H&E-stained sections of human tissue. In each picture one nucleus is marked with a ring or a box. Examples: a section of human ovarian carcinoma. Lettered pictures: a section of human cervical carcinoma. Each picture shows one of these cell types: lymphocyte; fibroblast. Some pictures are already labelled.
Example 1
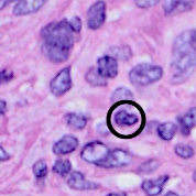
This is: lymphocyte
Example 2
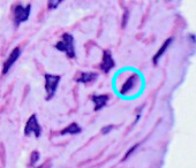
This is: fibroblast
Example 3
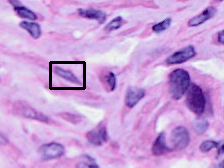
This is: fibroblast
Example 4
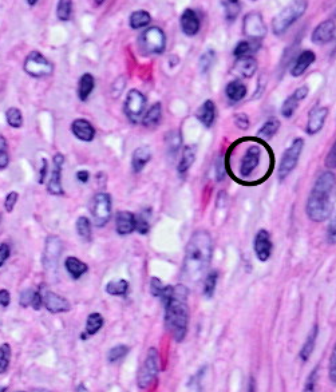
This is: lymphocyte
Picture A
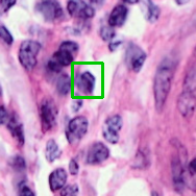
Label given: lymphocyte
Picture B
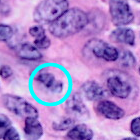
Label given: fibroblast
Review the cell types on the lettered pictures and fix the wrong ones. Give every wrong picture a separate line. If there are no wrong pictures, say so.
B: change fibroblast to lymphocyte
